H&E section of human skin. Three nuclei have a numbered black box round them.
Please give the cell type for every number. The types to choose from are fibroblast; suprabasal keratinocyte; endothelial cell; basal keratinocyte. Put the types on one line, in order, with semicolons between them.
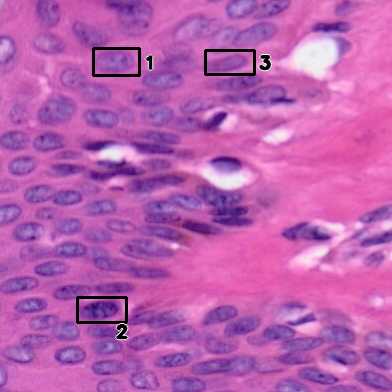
suprabasal keratinocyte; basal keratinocyte; basal keratinocyte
